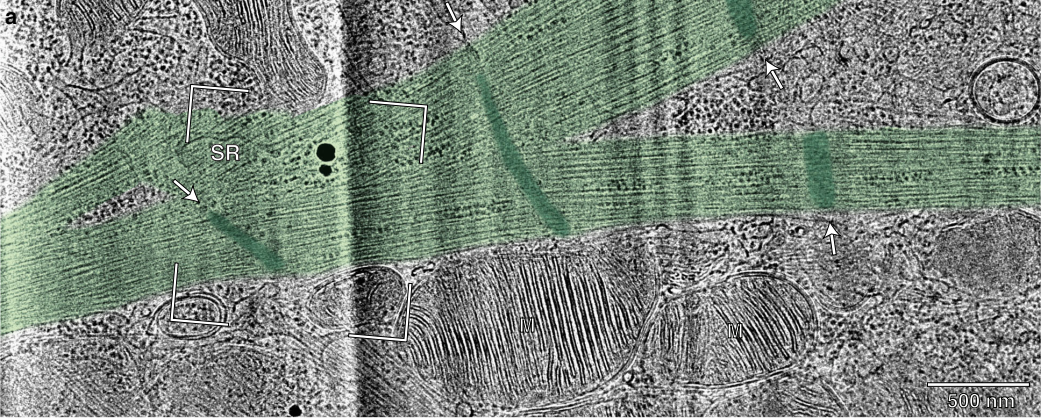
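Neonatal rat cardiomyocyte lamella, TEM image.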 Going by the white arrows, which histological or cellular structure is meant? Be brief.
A: periodic, electron-dense lines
